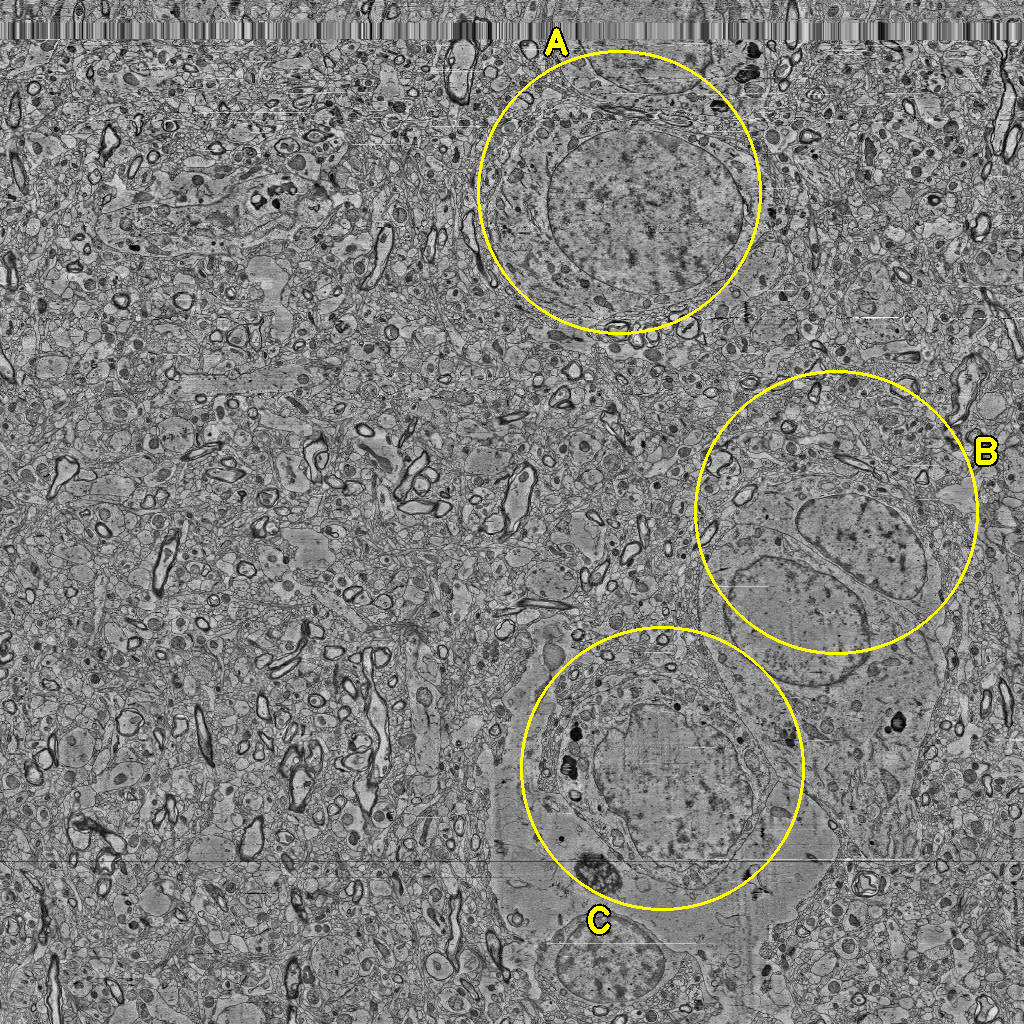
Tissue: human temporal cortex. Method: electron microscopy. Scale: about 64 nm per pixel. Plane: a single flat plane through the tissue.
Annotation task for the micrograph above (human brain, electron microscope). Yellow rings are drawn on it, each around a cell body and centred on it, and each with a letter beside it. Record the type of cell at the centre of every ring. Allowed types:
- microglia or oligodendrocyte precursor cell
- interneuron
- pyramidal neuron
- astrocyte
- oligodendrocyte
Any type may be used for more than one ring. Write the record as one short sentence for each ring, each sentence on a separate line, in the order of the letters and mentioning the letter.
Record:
The cell centred in ring A is an interneuron.
The cell centred in ring B is a microglial cell or oligodendrocyte precursor cell.
The cell centred in ring C is a pyramidal neuron.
